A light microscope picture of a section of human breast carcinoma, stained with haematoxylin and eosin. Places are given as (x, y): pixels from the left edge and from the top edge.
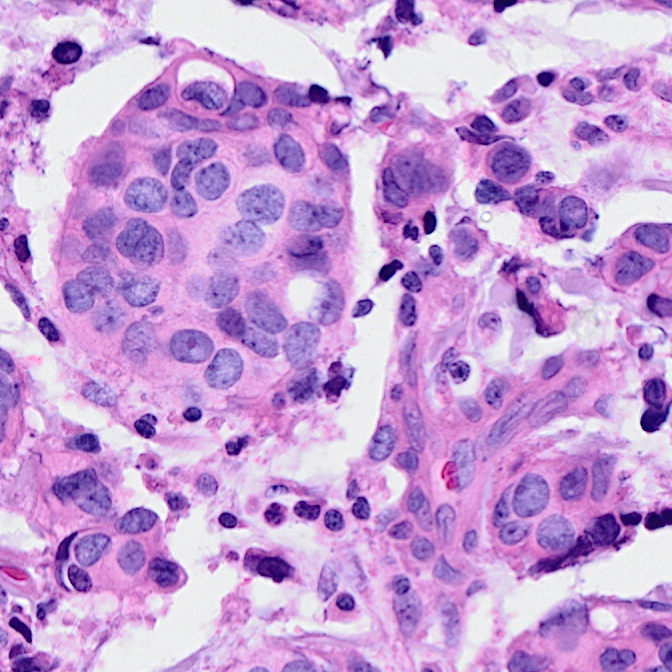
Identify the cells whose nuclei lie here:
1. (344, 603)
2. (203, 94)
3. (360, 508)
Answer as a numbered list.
1. mast cell
2. carcinoma cell
3. lymphocyte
